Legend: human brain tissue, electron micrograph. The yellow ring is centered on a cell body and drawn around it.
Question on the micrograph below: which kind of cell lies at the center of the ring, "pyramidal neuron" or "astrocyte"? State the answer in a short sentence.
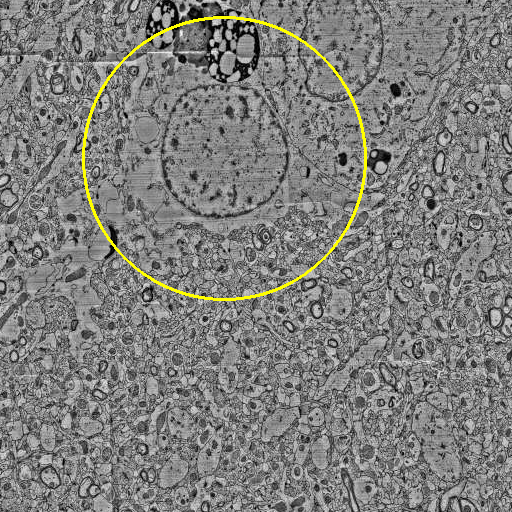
At the center of the ring lies an astrocyte.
